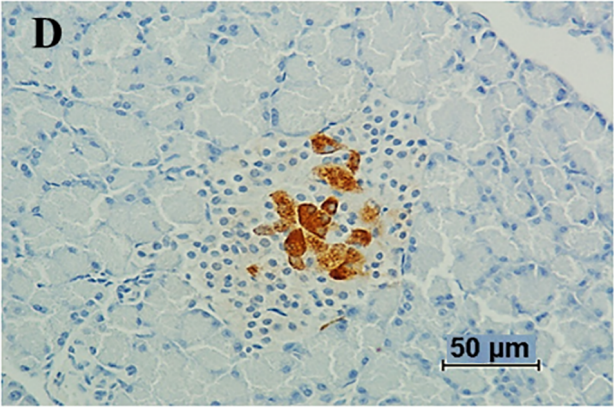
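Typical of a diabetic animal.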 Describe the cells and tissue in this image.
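This is a small pancreatic islet within exocrine pancreatic tissue. The islet appears as a loose cluster of cells with small, round, blue-stained nuclei and scant pale cytoplasm, lying among the surrounding acini. Only a few cells near its centre have brown-stained cytoplasm, forming a small irregular group, while most islet cells are unstained. The surrounding acini consist of pale, polygonal to pyramidal cells arranged in rounded groups, with blue nuclei at their bases. Compared with a normal islet, the brown-staining cells are strikingly few and the islet appears small.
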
